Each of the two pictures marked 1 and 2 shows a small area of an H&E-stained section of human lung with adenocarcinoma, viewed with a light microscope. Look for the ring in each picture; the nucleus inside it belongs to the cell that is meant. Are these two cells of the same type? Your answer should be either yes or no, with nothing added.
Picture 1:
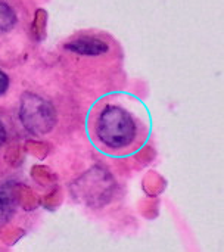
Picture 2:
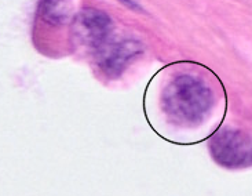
no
